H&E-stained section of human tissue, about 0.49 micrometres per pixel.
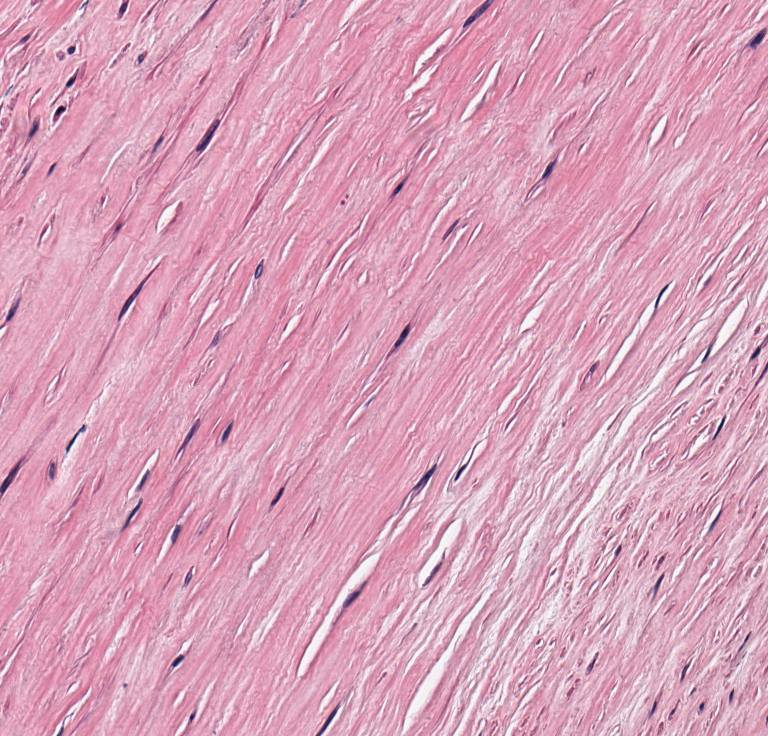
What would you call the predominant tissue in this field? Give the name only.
tunica media of an artery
